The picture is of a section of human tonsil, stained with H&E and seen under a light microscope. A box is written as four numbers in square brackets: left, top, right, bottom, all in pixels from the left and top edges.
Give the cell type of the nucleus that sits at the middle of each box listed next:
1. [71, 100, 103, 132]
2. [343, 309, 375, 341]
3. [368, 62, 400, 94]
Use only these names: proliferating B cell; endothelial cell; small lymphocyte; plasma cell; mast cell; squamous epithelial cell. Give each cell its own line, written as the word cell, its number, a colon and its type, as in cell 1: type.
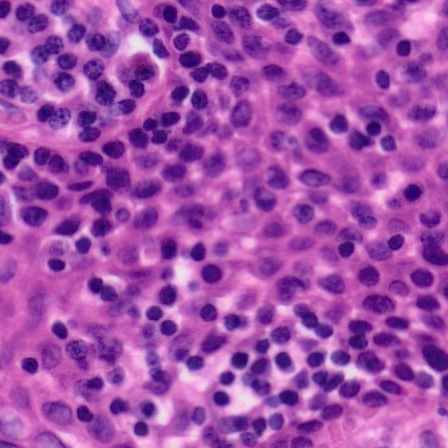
cell 1: plasma cell
cell 2: squamous epithelial cell
cell 3: squamous epithelial cell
